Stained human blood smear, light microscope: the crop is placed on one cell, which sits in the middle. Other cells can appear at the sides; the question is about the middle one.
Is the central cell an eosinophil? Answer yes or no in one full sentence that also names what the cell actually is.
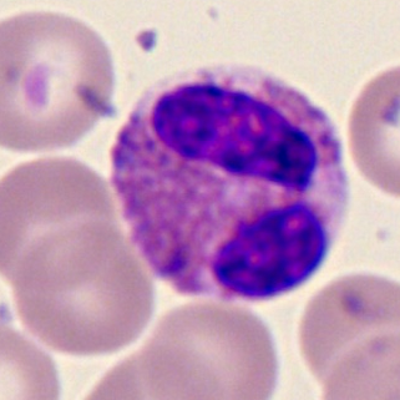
Yes, it is an eosinophil that lies in the middle.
